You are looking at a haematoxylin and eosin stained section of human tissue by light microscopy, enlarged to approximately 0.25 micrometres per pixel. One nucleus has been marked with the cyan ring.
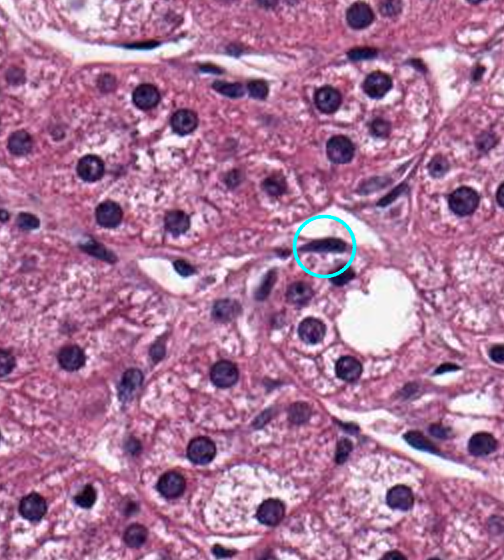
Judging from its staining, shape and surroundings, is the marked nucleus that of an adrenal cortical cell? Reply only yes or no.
no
